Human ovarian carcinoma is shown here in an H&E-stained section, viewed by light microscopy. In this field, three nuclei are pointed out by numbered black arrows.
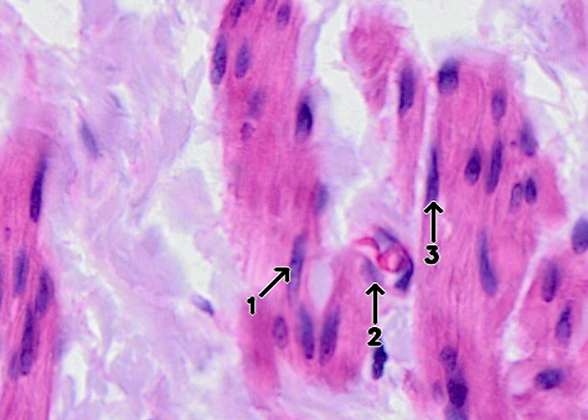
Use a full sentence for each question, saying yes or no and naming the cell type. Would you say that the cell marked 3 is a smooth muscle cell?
Yes, the cell numbered 3 in this tissue is a smooth muscle cell.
